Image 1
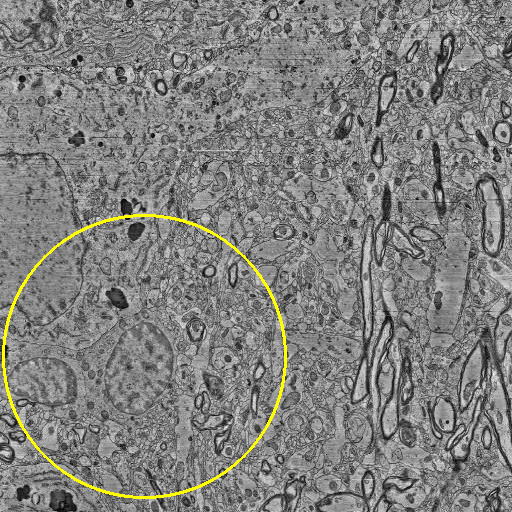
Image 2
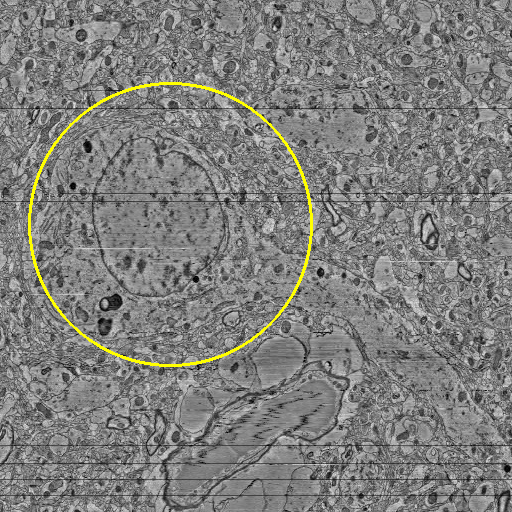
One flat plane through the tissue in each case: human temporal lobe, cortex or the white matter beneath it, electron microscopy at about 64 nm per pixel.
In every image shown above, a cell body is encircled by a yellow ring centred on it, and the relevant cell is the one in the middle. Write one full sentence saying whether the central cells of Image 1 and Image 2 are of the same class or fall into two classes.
The cell at the ring's centre in Image 1 and its counterpart in Image 2 fall into two classes.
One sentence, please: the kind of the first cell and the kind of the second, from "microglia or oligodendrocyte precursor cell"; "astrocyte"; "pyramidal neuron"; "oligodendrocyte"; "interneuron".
The ring in the first picture surrounds an oligodendrocyte, and the ring in the second surrounds a pyramidal neuron.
